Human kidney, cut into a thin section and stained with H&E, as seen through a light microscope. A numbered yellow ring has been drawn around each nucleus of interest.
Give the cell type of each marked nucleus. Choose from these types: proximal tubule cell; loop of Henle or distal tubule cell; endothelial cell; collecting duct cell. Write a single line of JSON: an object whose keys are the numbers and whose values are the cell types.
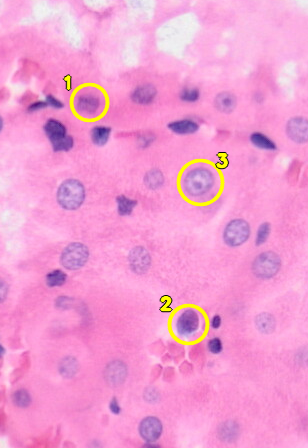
{"1": "proximal tubule cell", "2": "endothelial cell", "3": "proximal tubule cell"}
